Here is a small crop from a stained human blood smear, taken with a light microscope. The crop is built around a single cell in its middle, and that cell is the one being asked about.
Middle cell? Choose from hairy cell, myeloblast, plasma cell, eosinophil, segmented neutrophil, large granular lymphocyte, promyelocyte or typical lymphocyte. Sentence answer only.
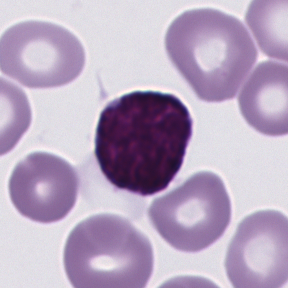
In this crop, the cell at the very middle is a myeloblast.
